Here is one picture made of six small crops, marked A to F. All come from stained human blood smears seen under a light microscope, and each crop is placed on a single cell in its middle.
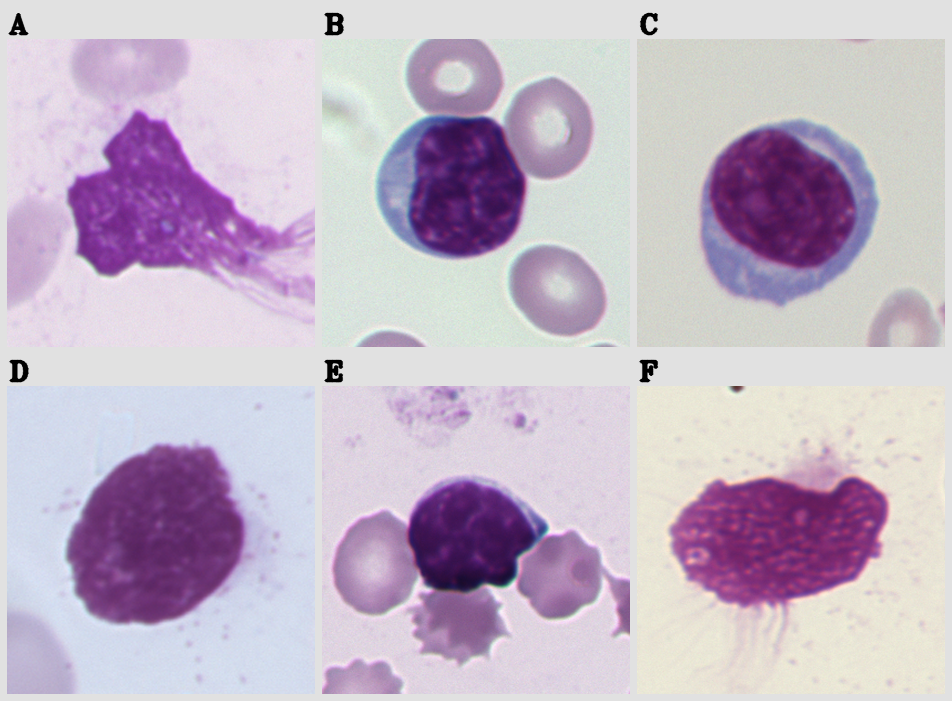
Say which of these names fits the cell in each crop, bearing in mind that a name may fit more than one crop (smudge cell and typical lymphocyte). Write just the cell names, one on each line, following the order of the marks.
smudge cell
typical lymphocyte
typical lymphocyte
smudge cell
typical lymphocyte
smudge cell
